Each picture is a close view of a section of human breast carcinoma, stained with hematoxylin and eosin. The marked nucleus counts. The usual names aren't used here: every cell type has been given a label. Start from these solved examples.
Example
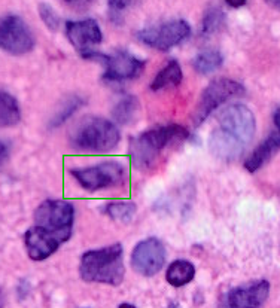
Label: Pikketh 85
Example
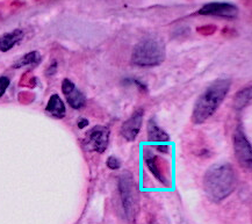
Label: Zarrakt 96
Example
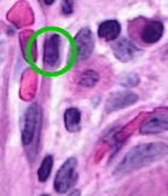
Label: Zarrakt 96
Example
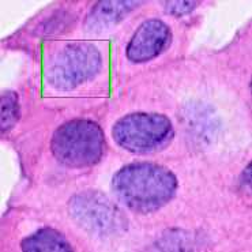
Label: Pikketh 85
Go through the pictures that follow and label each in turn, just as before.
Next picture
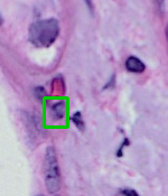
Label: Zarrakt 96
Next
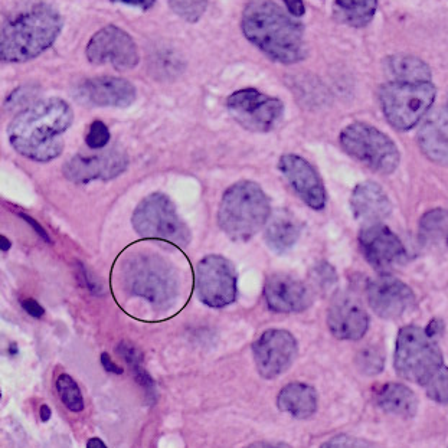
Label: Pikketh 85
